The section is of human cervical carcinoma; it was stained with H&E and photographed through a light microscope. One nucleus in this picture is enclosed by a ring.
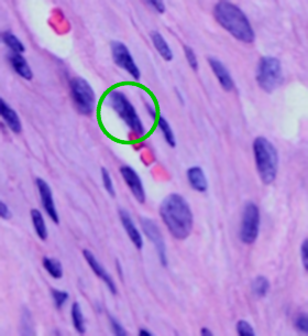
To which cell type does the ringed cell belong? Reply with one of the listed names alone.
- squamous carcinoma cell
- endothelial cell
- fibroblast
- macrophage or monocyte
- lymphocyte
endothelial cell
